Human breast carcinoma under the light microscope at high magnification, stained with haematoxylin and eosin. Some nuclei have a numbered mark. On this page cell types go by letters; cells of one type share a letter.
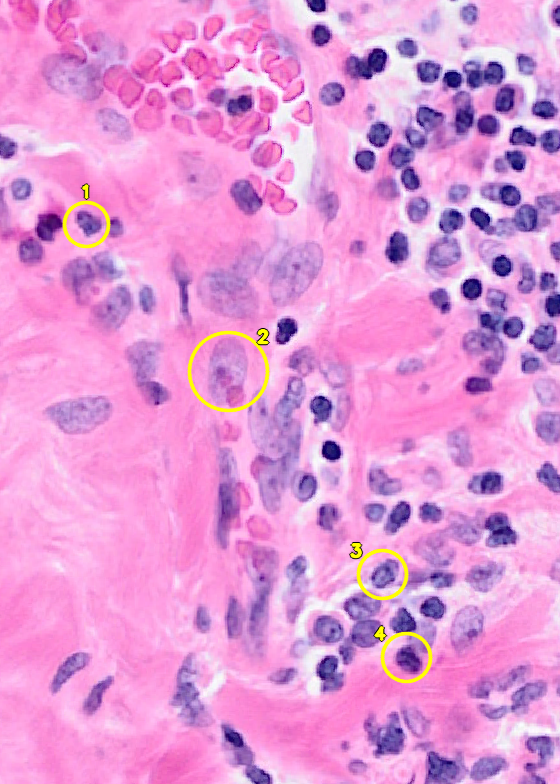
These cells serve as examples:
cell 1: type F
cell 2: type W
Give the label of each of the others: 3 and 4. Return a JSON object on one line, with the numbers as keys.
{"3": "type F", "4": "type F"}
